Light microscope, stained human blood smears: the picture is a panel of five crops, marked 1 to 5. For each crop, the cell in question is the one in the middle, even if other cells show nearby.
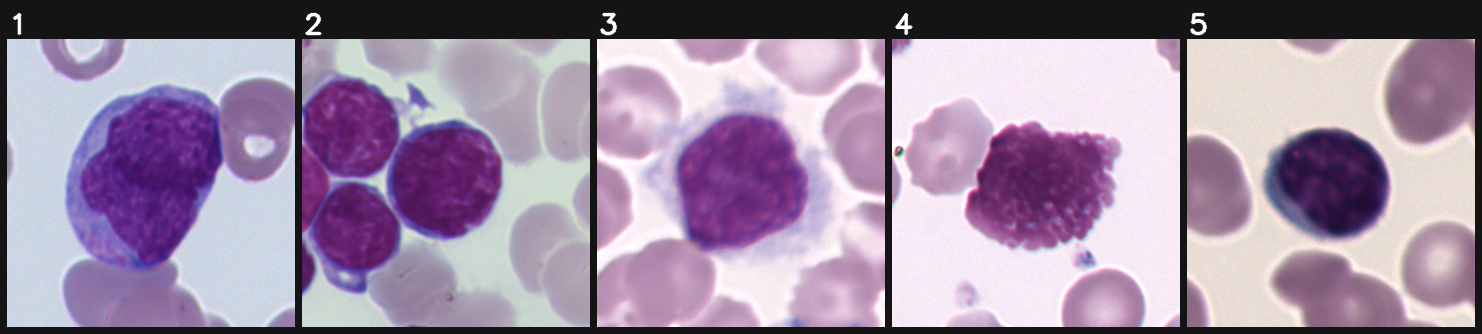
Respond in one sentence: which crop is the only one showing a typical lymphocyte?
Crop 5 is where a typical lymphocyte is shown.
